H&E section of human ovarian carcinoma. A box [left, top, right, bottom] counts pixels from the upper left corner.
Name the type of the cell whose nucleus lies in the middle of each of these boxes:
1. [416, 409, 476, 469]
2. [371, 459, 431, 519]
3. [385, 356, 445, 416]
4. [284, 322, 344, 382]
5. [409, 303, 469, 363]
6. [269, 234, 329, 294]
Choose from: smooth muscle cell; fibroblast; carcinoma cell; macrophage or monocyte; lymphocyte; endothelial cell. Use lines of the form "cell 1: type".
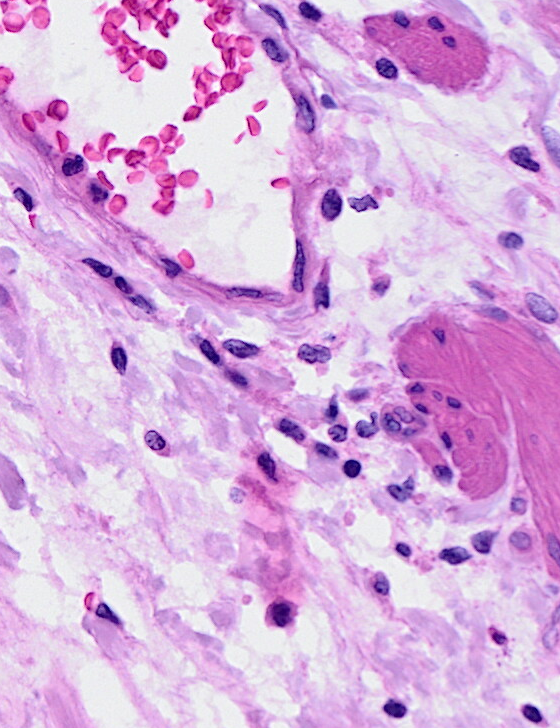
cell 1: smooth muscle cell
cell 2: macrophage or monocyte
cell 3: smooth muscle cell
cell 4: macrophage or monocyte
cell 5: smooth muscle cell
cell 6: endothelial cell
